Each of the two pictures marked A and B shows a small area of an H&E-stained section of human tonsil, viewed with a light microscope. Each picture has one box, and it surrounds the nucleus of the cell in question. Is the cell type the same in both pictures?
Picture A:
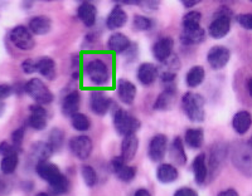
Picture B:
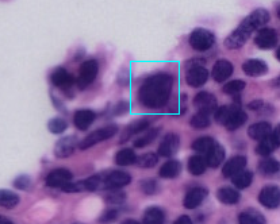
no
